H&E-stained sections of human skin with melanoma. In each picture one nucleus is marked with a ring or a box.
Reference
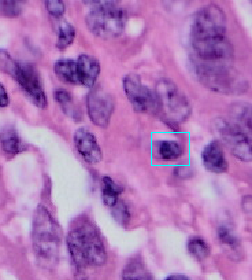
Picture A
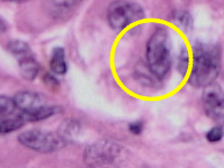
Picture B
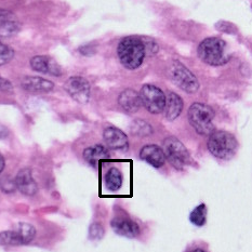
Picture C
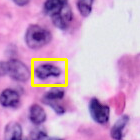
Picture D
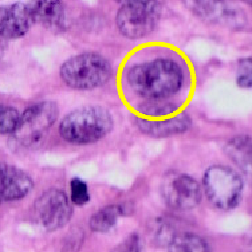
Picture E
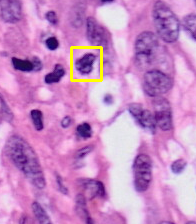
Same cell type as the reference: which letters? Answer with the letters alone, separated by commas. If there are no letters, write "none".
B, C, E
